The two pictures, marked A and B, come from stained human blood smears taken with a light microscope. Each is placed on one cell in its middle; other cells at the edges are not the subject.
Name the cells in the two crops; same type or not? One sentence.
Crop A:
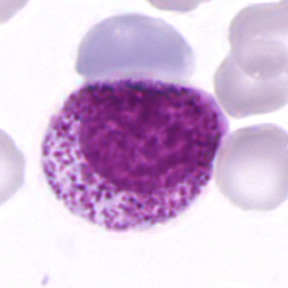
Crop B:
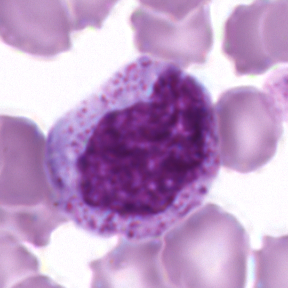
Yes, it is myelocytes that sit at the centre of both crops.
